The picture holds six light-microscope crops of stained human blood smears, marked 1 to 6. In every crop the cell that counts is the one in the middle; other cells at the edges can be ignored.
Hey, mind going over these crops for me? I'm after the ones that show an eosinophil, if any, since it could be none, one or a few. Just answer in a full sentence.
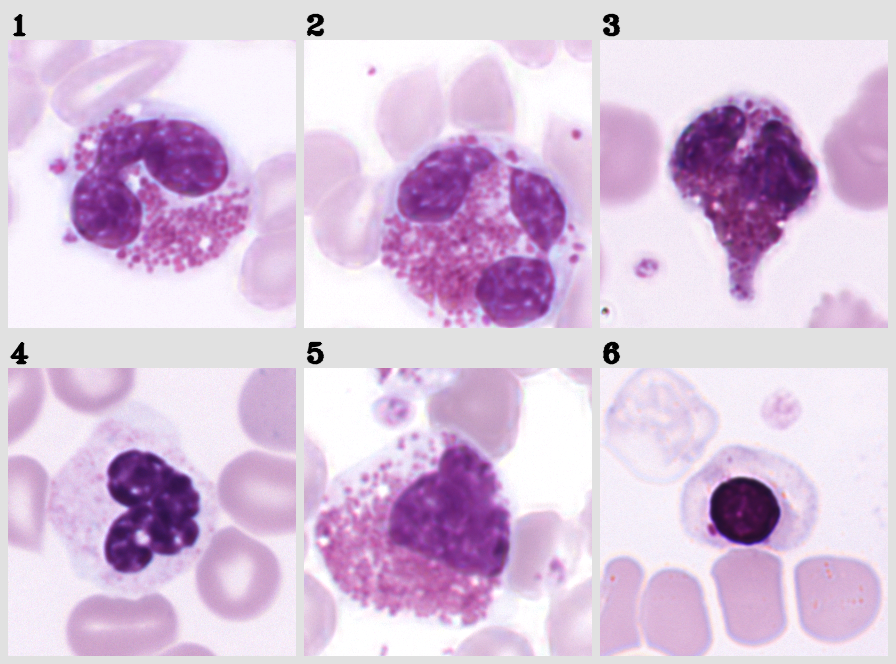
Shown at the centre of crops 1, 2, 3 and 5 are eosinophils.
